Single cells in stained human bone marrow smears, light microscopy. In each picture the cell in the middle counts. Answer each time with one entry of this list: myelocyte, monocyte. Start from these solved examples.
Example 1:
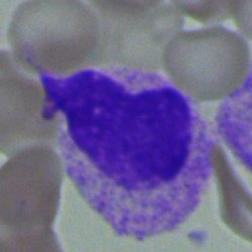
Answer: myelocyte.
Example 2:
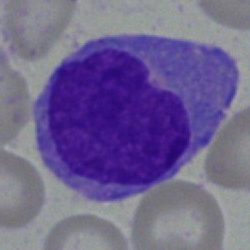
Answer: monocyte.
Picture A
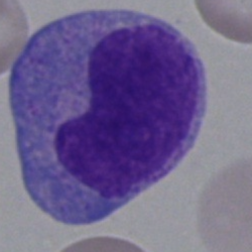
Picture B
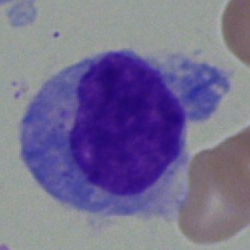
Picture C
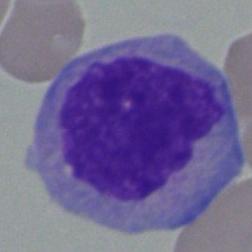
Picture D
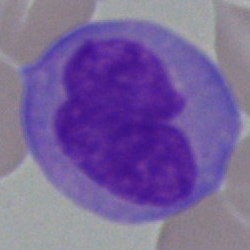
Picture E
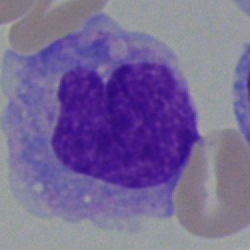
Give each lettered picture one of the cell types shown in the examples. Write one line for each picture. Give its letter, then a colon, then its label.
A: monocyte.
B: monocyte.
C: monocyte.
D: monocyte.
E: monocyte.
